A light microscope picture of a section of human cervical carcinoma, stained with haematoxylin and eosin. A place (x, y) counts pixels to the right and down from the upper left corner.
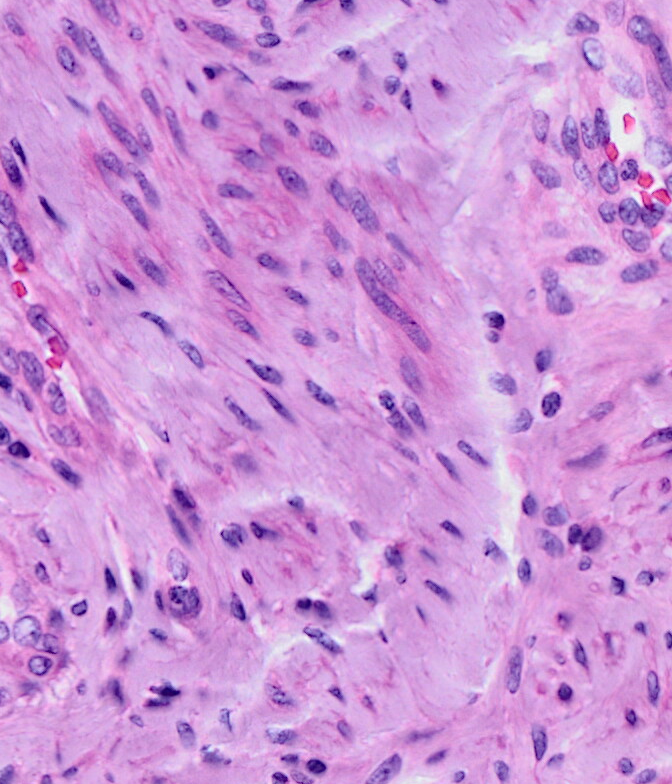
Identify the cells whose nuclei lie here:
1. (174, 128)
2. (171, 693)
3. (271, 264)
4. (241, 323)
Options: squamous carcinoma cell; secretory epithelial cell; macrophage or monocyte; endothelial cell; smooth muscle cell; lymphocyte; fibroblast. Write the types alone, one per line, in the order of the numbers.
smooth muscle cell
lymphocyte
smooth muscle cell
smooth muscle cell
